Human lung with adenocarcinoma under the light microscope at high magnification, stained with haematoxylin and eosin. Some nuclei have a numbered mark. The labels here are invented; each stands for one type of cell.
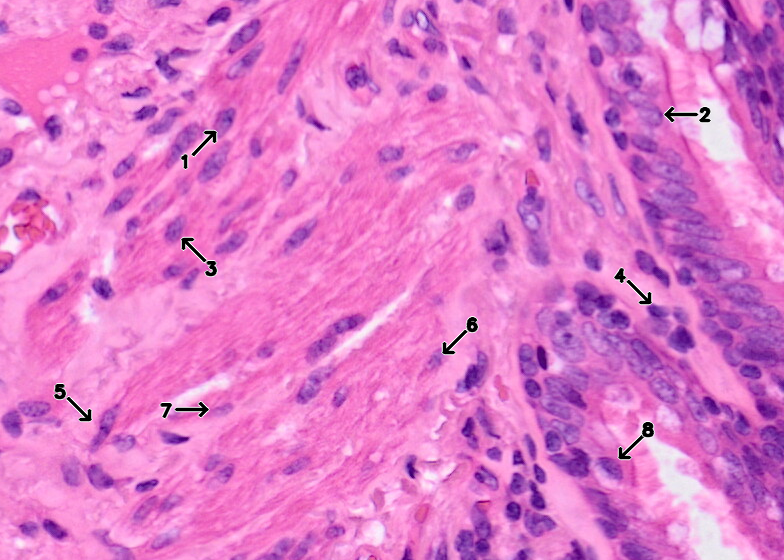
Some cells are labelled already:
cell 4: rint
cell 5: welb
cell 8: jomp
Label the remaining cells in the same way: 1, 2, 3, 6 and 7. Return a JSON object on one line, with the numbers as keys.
{"1": "welb", "2": "jomp", "3": "welb", "6": "welb", "7": "welb"}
